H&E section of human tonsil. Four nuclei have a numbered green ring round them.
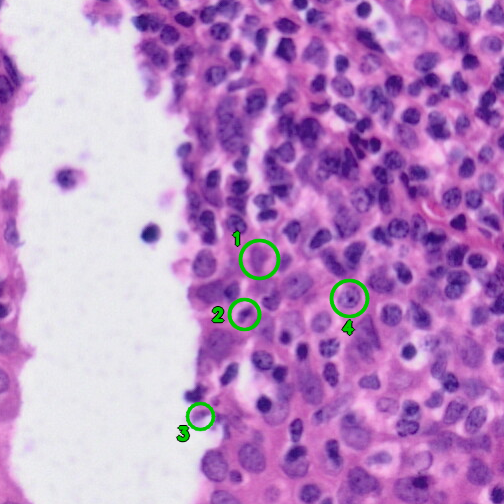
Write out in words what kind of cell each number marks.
Cell 1 is a squamous epithelial cell, cell 2 is a squamous epithelial cell, cell 3 is a squamous epithelial cell and cell 4 is a plasma cell.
